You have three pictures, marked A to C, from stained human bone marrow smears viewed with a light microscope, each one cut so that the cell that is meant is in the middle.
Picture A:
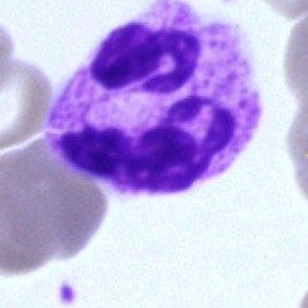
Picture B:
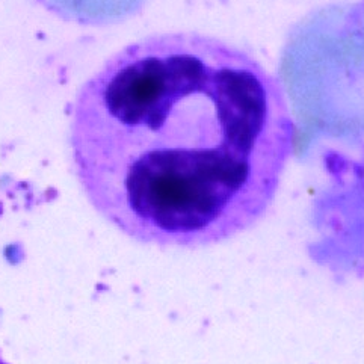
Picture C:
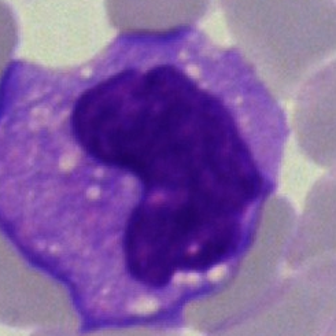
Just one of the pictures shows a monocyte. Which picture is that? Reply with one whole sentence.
It is picture C that shows the monocyte.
